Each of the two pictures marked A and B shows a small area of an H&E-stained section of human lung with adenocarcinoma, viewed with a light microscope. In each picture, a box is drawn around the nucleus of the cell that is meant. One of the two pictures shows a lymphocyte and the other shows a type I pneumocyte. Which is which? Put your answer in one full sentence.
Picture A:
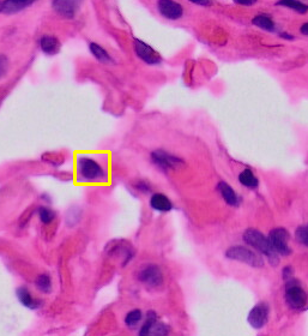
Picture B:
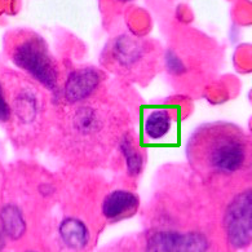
Picture A is of a type I pneumocyte, and picture B is of a lymphocyte.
